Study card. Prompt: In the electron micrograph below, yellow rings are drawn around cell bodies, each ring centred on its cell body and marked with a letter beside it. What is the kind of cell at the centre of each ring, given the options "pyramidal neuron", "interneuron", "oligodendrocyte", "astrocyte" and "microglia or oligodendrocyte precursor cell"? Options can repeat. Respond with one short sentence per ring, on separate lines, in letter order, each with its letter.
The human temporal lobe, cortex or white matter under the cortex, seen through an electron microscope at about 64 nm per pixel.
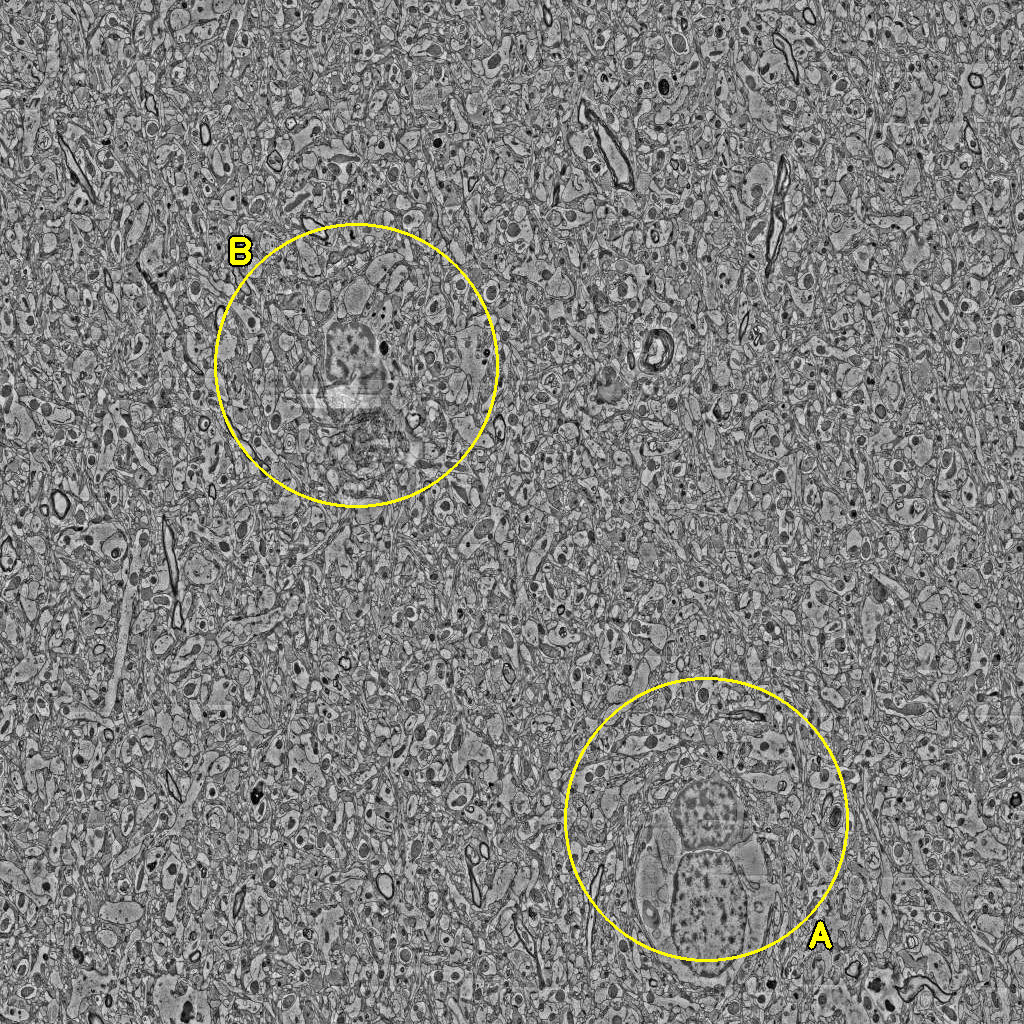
Ring A outlines an oligodendrocyte.
Ring B outlines a microglial cell or oligodendrocyte precursor cell.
